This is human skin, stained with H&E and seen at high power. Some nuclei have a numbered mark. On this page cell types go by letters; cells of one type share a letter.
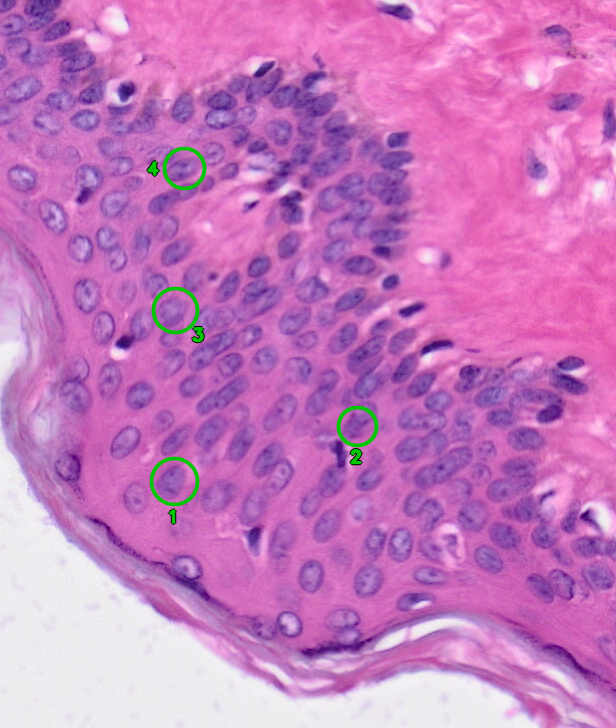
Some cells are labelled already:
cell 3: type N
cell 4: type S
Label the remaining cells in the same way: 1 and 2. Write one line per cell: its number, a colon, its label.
1: type N
2: type N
